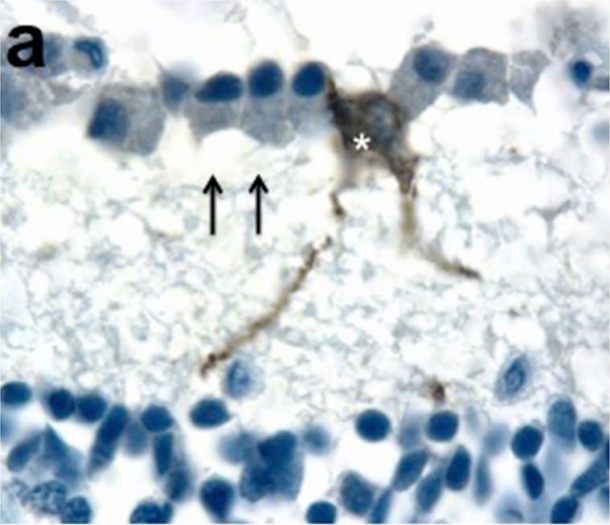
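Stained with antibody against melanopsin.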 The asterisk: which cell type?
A: Retinal ganglion cell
